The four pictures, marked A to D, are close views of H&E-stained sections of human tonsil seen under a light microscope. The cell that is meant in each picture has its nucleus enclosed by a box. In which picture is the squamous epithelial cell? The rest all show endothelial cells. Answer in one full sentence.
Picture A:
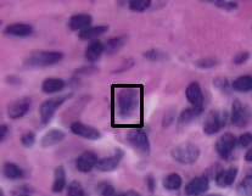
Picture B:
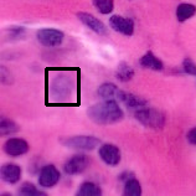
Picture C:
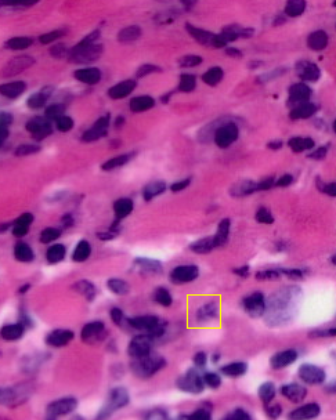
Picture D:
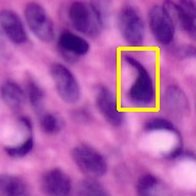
The squamous epithelial cell is the one in picture D.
